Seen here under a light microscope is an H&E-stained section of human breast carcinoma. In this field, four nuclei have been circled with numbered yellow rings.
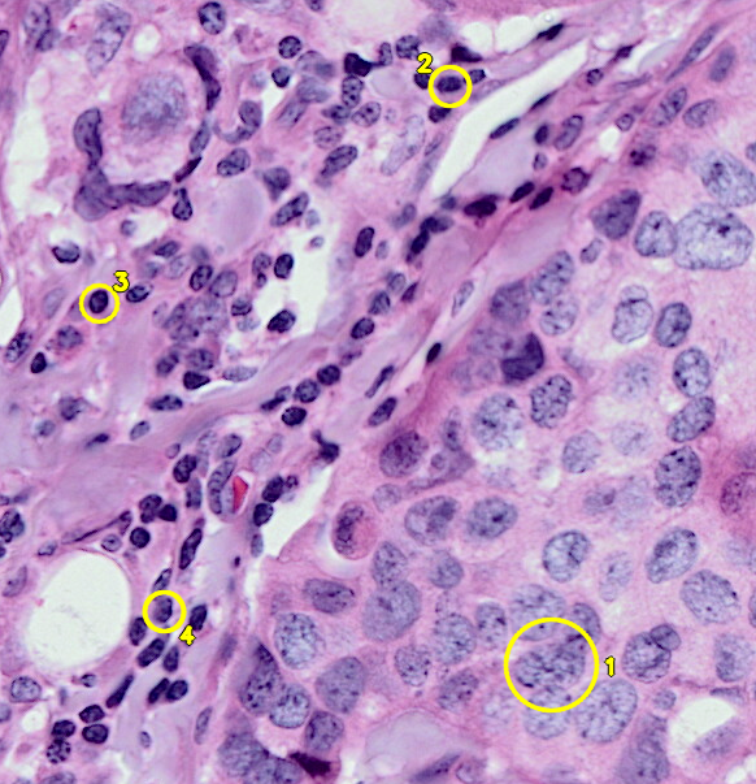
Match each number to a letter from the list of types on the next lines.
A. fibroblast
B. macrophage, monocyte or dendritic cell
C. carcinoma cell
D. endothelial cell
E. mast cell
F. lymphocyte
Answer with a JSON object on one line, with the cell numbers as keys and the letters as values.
{"1": "C", "2": "F", "3": "F", "4": "F"}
